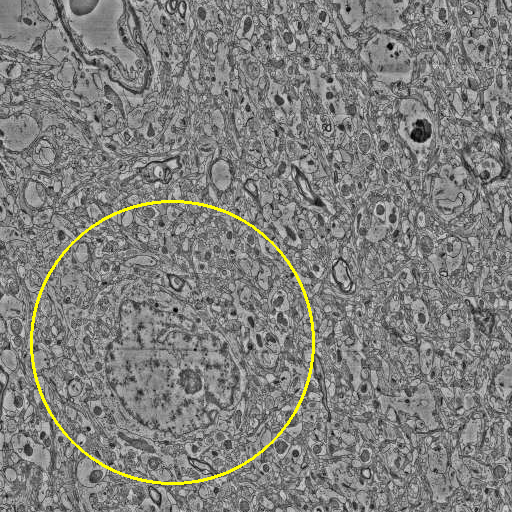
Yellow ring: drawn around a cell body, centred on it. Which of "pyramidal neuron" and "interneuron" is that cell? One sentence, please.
That cell body is from an interneuron.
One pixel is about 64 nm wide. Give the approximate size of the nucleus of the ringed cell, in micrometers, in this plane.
In this plane, roughly 9 by 7 micrometres.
